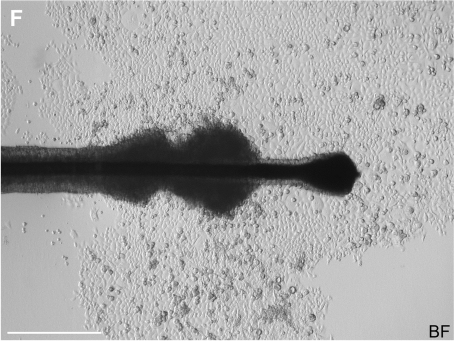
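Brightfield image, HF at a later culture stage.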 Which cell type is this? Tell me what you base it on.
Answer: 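A dark elongated explant runs horizontally across the field. Many small, separate cells lie spread over the dish on both sides of the explant. The answer: proliferating keratinocytes.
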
